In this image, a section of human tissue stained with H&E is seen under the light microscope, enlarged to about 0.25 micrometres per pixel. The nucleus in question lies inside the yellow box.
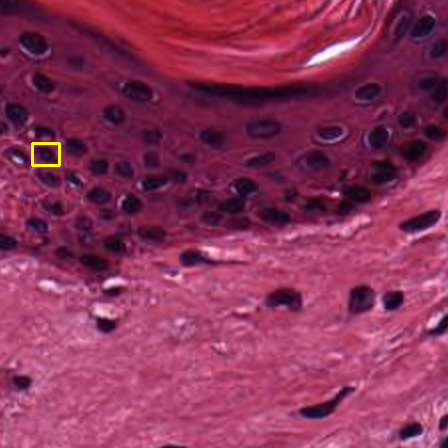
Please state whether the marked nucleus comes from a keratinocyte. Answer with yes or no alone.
yes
